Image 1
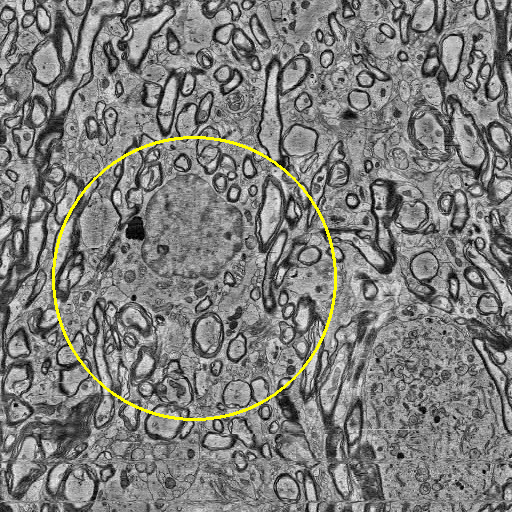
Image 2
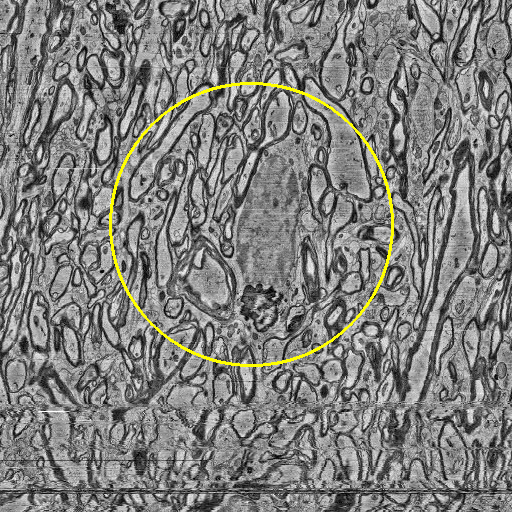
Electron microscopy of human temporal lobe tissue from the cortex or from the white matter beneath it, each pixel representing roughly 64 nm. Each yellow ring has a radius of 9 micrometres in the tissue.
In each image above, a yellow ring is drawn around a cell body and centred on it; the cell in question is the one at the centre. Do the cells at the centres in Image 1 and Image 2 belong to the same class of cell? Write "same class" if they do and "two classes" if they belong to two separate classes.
same class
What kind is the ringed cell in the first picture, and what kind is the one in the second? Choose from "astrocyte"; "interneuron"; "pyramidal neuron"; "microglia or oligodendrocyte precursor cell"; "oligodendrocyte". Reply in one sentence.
Both rings mark an oligodendrocyte, one in each picture.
